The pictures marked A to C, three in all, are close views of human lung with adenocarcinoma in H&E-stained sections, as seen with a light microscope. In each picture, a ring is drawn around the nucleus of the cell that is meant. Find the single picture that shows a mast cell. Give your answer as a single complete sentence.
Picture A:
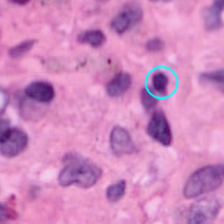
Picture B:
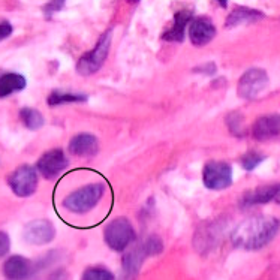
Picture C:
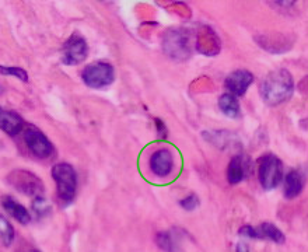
The mast cell is the one in picture C.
